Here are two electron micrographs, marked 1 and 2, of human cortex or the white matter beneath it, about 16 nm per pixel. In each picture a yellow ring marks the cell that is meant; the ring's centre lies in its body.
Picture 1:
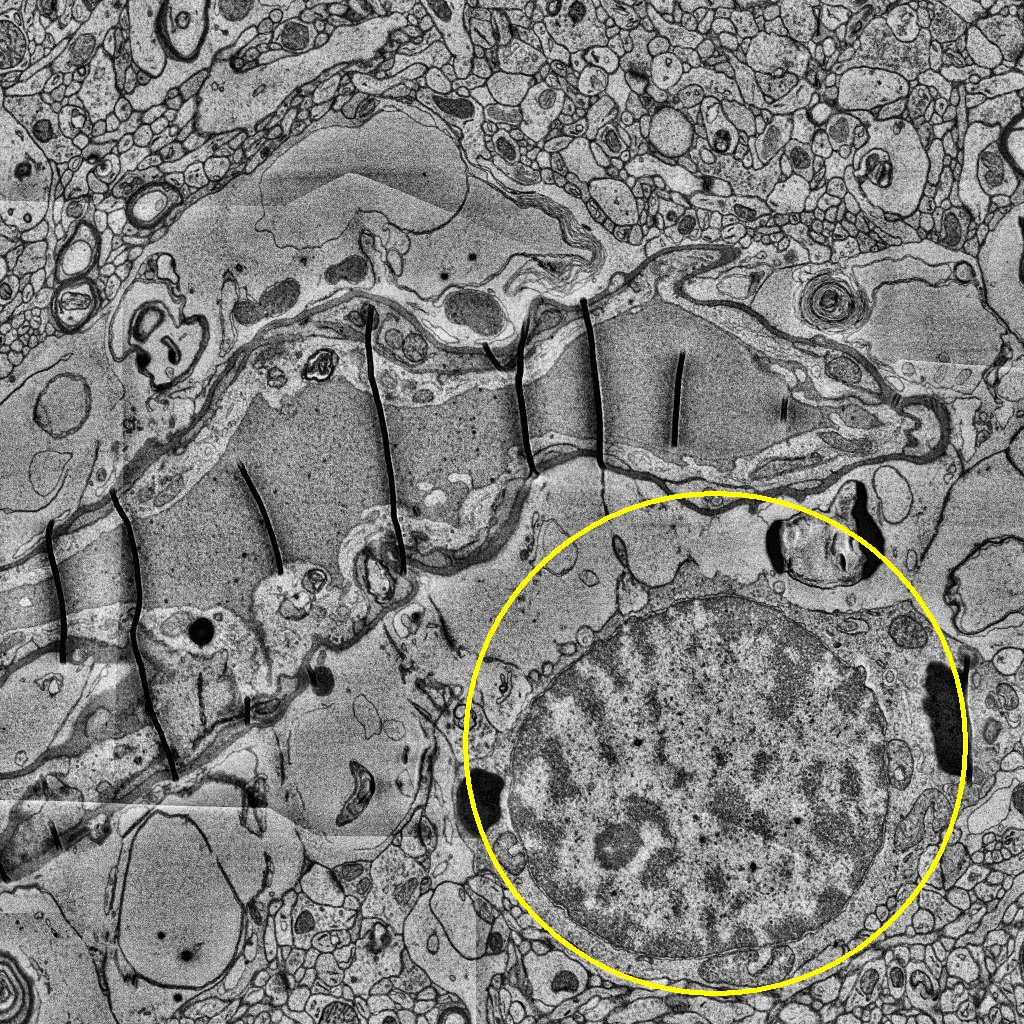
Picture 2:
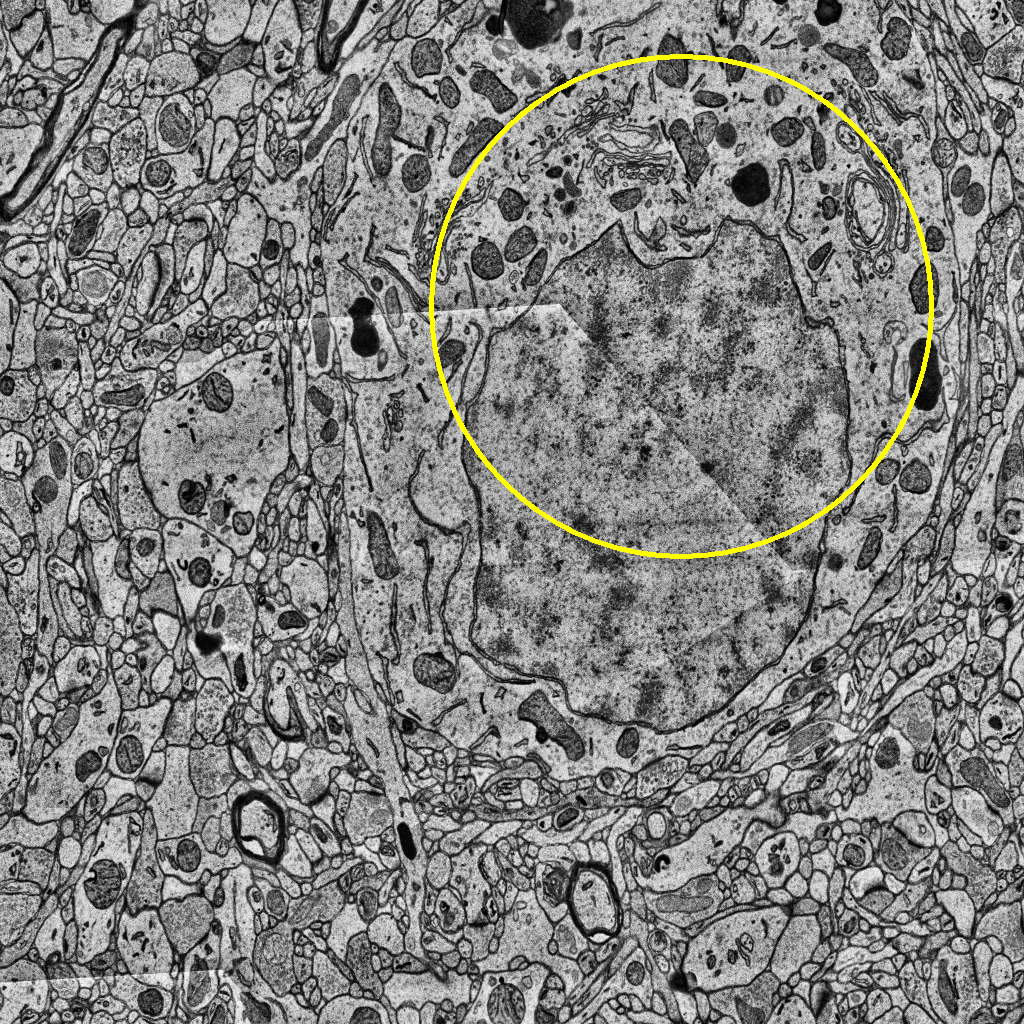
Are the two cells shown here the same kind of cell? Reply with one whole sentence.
No, they differ: the cell is an oligodendrocyte in picture 1 and an interneuron in picture 2.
